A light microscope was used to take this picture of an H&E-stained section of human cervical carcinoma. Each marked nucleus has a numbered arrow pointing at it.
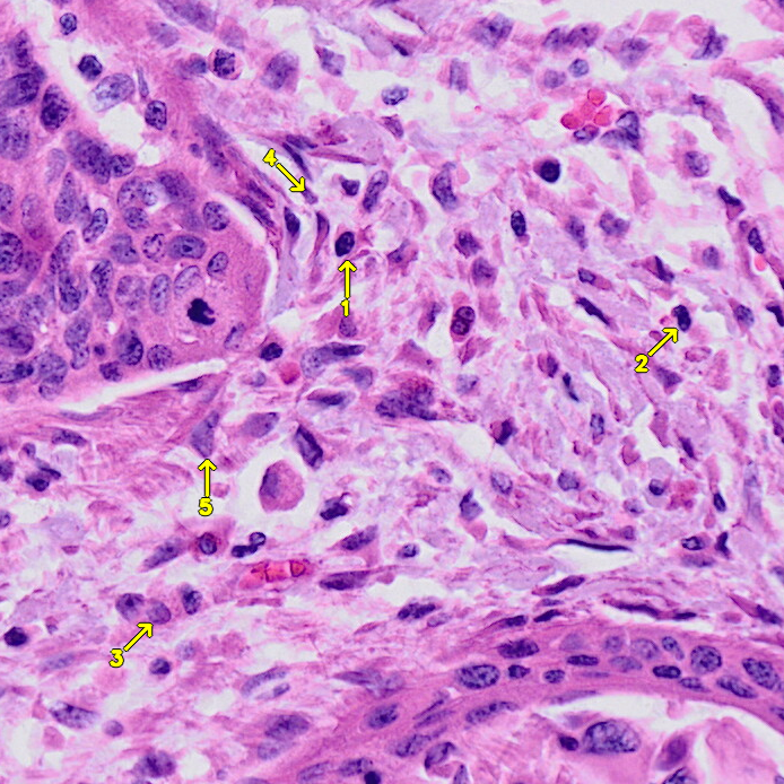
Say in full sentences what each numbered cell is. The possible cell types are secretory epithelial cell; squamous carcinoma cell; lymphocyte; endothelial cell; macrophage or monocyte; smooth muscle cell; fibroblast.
Cell 1 is a lymphocyte, cell 2 is a lymphocyte, cell 3 is a macrophage or monocyte, cell 4 is a fibroblast and cell 5 is a fibroblast.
